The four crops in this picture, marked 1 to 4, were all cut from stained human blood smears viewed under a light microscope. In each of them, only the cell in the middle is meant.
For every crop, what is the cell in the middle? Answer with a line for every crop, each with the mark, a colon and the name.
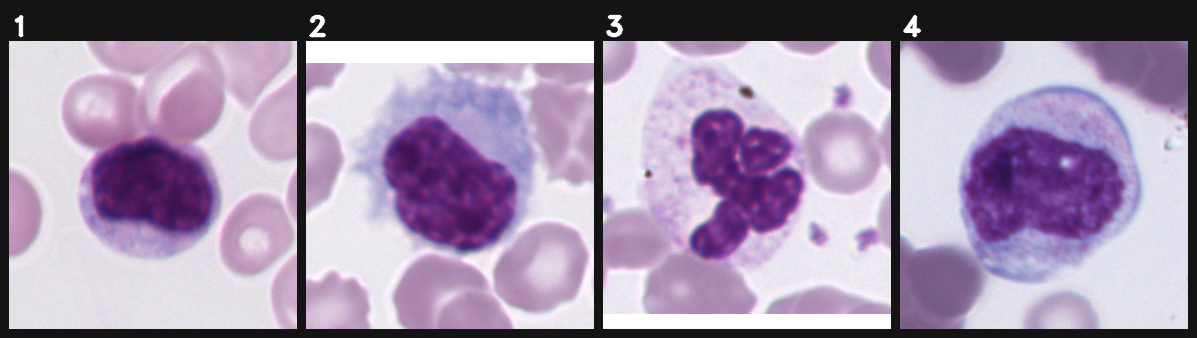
1: metamyelocyte
2: hairy cell
3: segmented neutrophil
4: metamyelocyte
